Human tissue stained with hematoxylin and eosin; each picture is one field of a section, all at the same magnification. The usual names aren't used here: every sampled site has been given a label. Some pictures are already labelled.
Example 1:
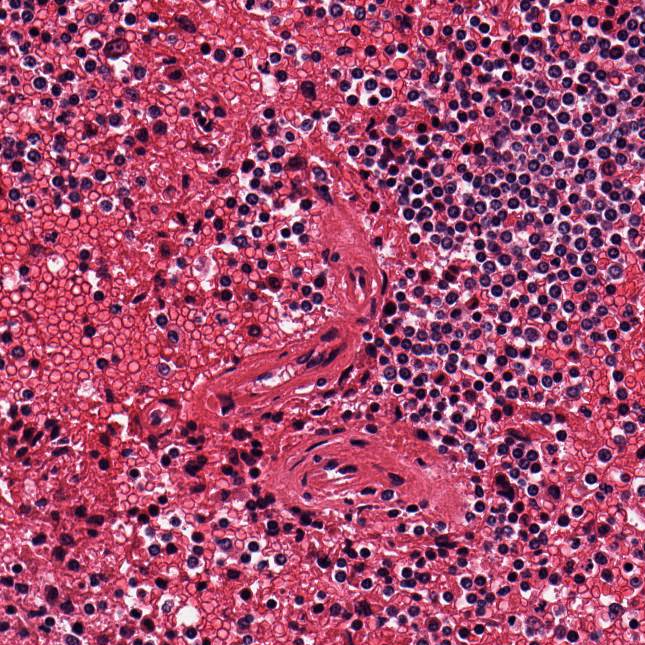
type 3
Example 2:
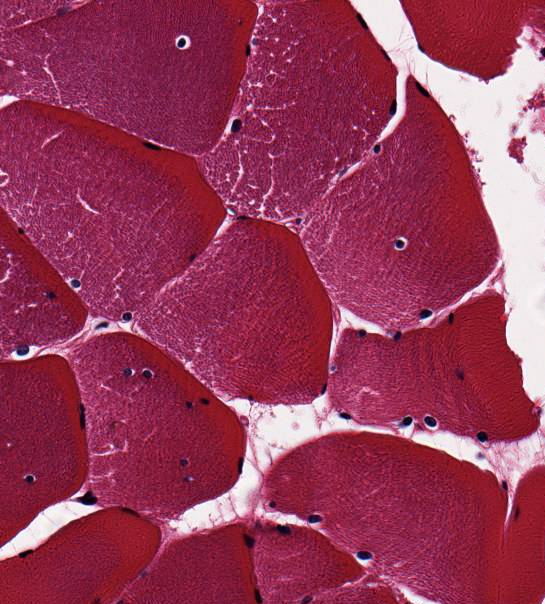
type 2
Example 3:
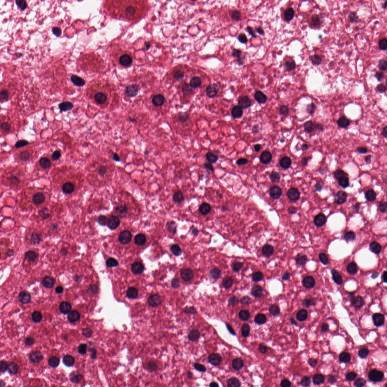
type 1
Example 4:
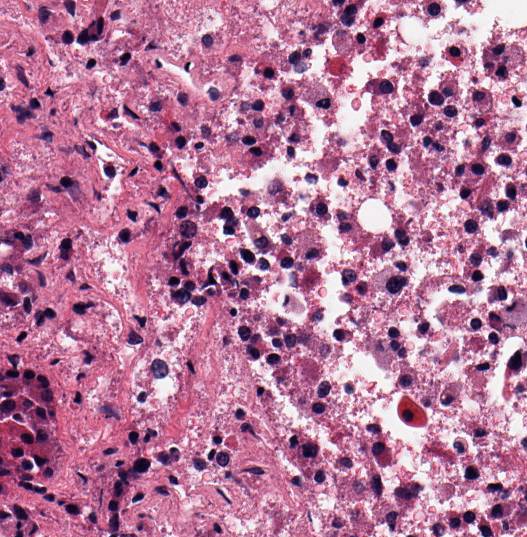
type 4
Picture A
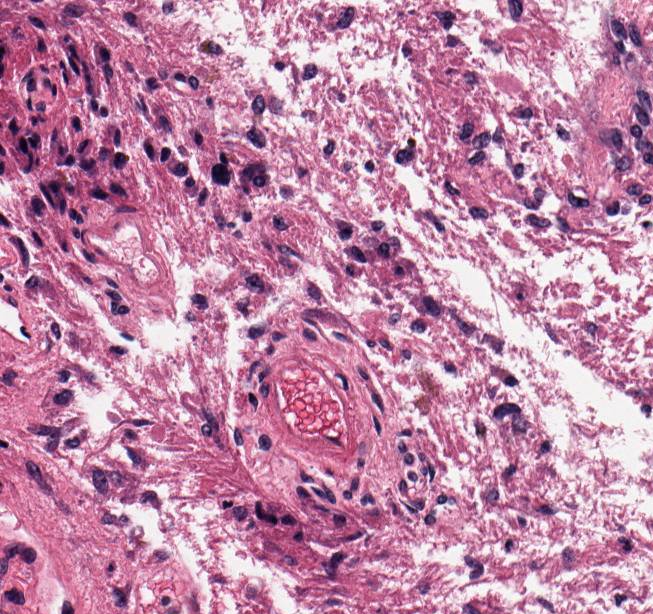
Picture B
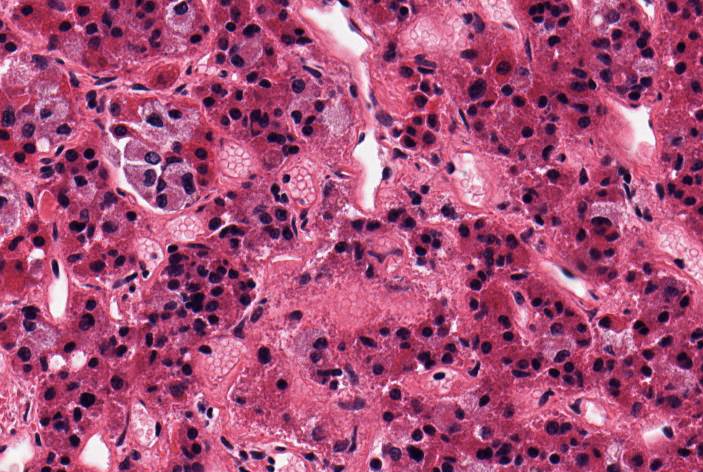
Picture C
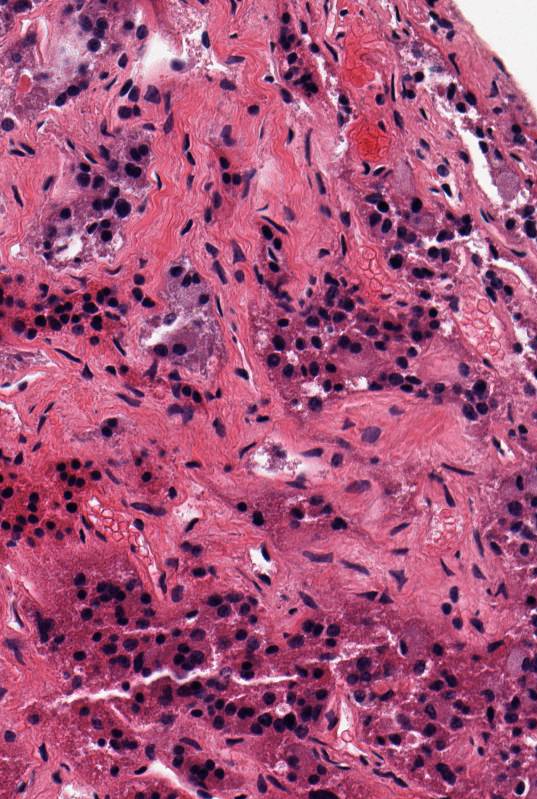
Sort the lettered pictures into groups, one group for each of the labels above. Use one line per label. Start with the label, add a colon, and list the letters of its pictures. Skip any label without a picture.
type 4: A, B, C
